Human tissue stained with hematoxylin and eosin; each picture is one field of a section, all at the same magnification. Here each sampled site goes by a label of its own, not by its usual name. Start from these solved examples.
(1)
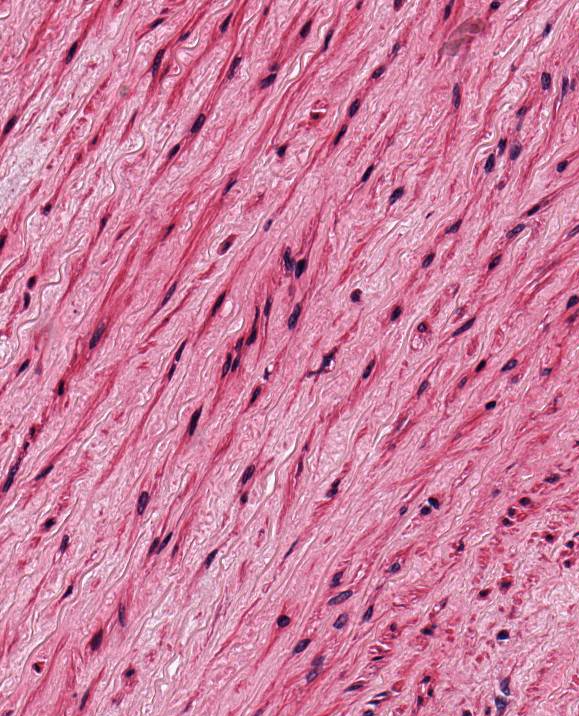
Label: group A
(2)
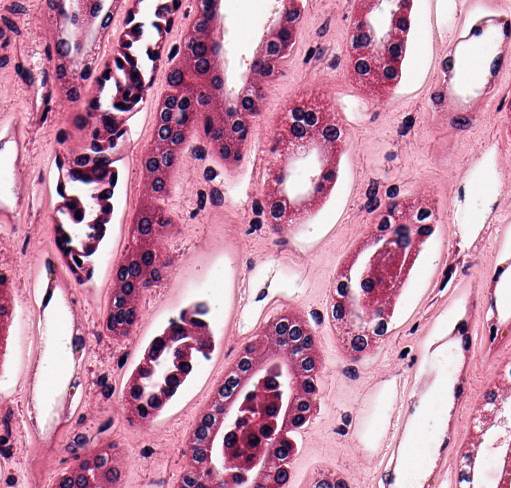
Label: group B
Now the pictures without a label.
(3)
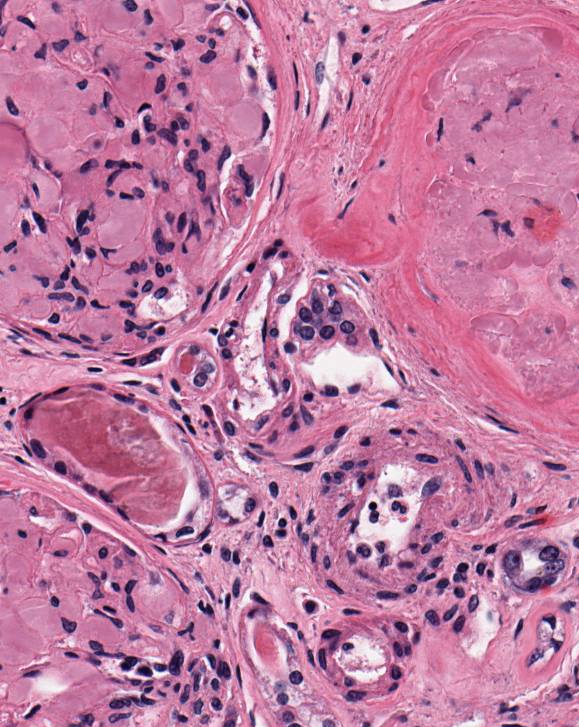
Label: group B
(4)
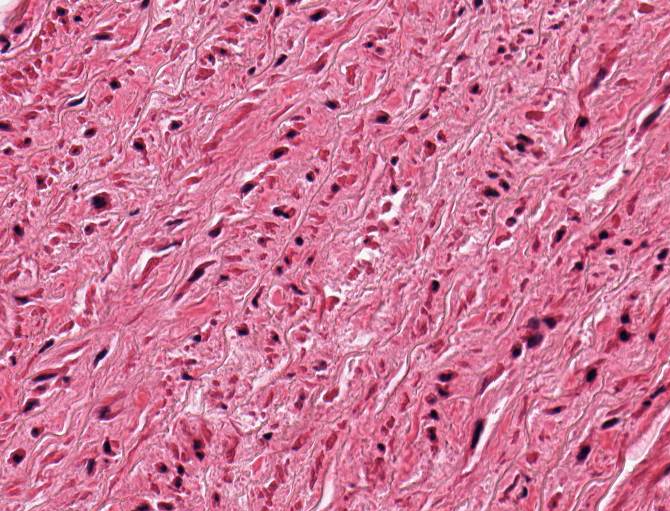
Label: group A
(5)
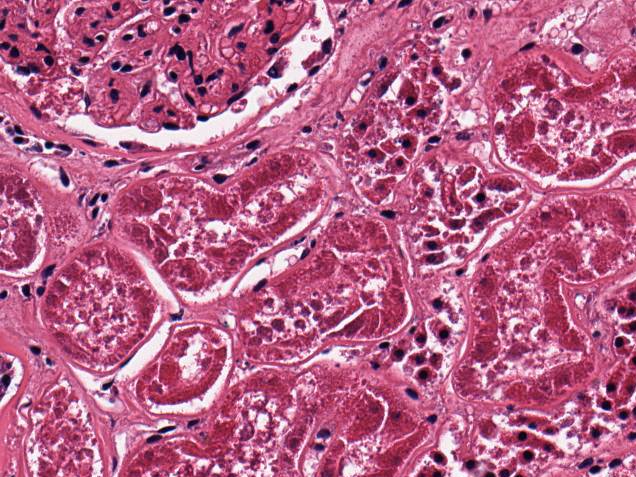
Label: group B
